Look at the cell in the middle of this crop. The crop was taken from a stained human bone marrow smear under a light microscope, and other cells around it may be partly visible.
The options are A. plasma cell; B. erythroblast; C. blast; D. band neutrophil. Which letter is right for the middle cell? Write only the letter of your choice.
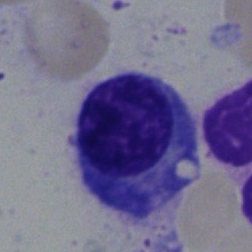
A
